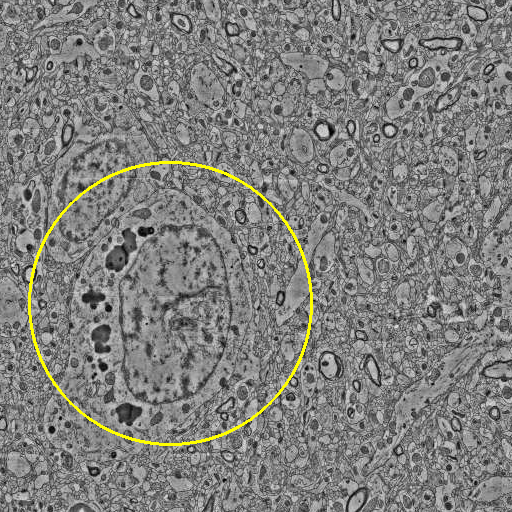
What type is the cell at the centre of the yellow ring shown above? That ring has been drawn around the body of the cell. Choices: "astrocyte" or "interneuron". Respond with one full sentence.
My answer is that an interneuron lies at the centre of the yellow ring above.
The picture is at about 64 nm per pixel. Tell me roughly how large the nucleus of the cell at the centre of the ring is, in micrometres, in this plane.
The nucleus is about 12 micrometres in length and 7 in width, clearly longer than it is wide in this plane.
